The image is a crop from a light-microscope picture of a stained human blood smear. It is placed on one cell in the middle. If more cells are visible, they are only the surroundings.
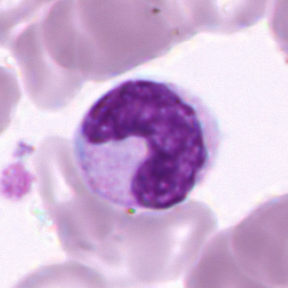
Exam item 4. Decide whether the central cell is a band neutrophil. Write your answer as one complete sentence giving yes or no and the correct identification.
Yes, the cell in the middle is recognised as a band neutrophil.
